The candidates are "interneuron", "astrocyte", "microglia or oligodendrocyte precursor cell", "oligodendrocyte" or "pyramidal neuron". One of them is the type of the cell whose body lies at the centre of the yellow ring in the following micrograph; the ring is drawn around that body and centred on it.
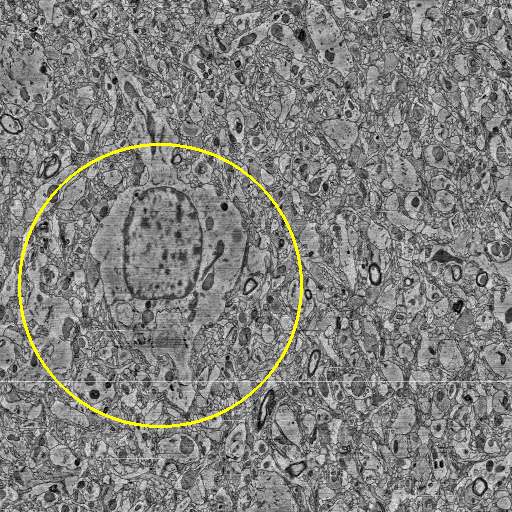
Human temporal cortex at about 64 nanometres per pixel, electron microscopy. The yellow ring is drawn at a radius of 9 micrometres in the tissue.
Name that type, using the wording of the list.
astrocyte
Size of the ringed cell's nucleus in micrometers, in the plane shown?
Roughly 8 micrometres by 5 micrometres, so the nucleus is clearly longer than it is wide in this plane.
